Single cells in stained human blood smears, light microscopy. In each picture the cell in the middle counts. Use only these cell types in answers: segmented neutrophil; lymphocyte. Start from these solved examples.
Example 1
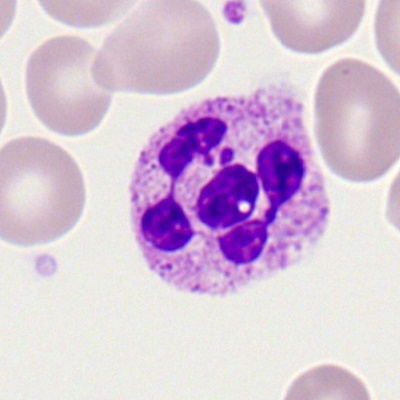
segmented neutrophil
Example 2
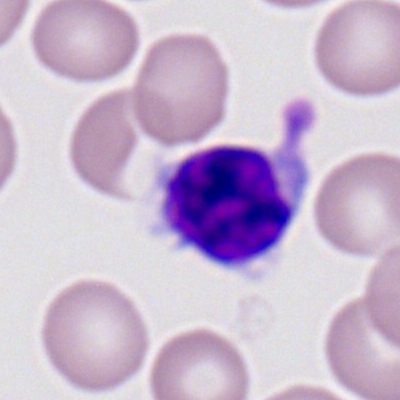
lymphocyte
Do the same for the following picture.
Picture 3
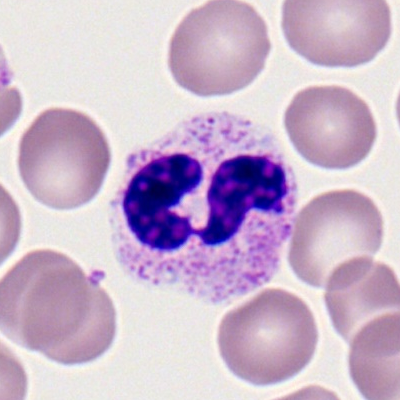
segmented neutrophil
